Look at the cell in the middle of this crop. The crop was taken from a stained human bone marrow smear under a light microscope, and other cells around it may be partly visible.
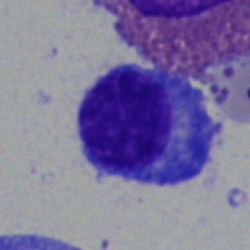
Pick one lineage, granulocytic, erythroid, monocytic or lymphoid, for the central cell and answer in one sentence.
The cell in the middle of the crop belongs to the lymphoid lineage.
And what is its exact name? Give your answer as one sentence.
Here the cell in the middle is a plasma cell.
